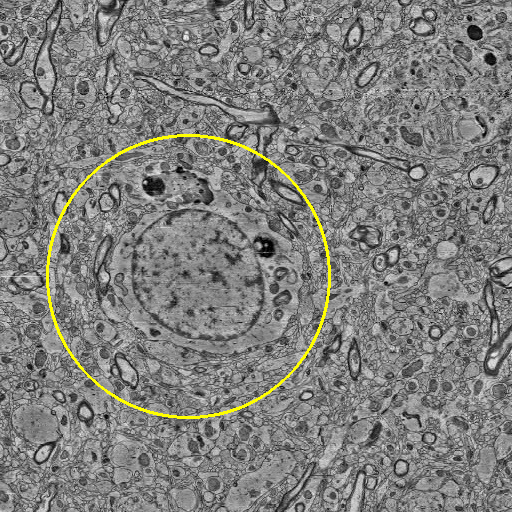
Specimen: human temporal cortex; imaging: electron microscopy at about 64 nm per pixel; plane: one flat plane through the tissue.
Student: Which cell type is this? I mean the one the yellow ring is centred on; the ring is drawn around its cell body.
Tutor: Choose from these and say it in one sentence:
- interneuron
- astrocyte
The cell the ring is centred on is an astrocyte.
